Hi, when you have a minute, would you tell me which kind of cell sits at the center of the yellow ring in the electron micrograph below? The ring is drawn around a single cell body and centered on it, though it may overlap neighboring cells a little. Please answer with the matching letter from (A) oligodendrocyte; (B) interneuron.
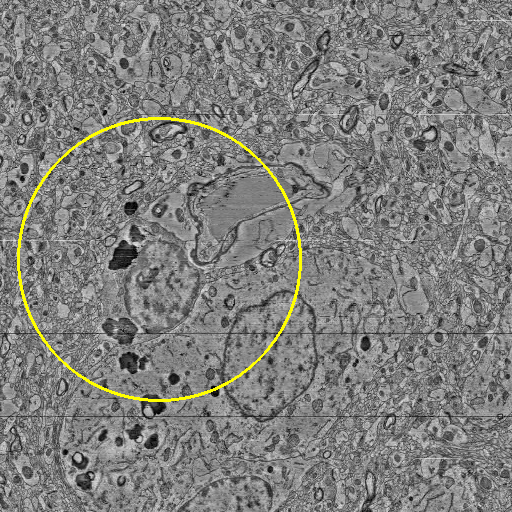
A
